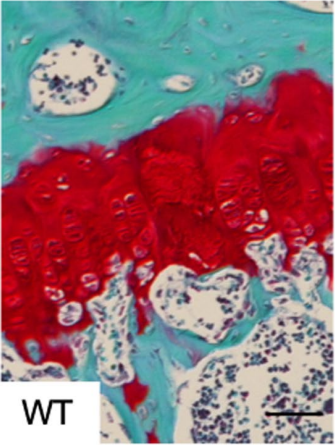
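Within the red band the chondrocytes sit in small clear lacunae and are stacked one above another in parallel columns. Toward the lower edge the cells become larger and rounder, and the cartilage there is cut into by marrow spaces. Above the cartilage lies blue-green bone with a marrow cavity, and green bone also lines the spaces beneath the band.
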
